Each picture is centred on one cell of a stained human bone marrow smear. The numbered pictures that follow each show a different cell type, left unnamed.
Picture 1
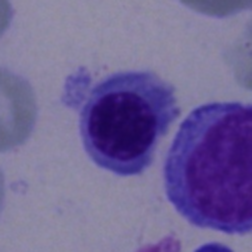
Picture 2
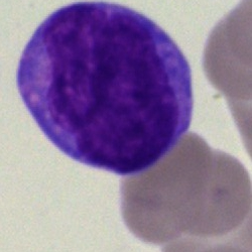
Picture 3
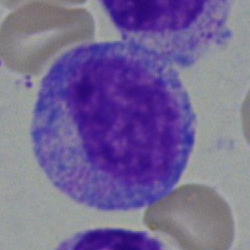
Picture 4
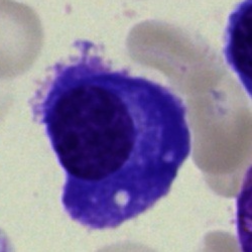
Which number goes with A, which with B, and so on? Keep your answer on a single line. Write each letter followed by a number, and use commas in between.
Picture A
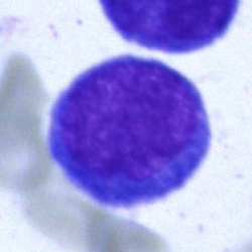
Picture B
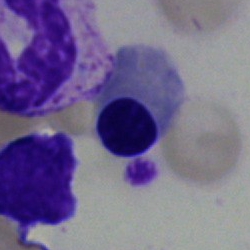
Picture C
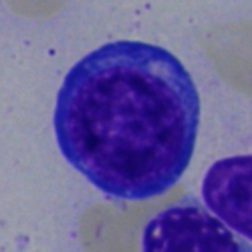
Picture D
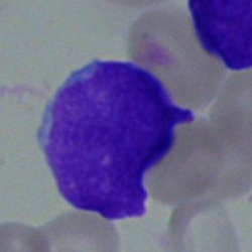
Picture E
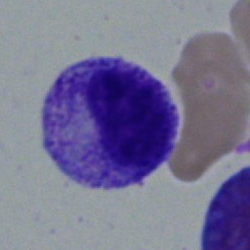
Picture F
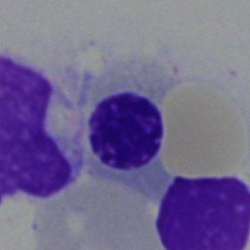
A 2, B 1, C 1, D 2, E 3, F 1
